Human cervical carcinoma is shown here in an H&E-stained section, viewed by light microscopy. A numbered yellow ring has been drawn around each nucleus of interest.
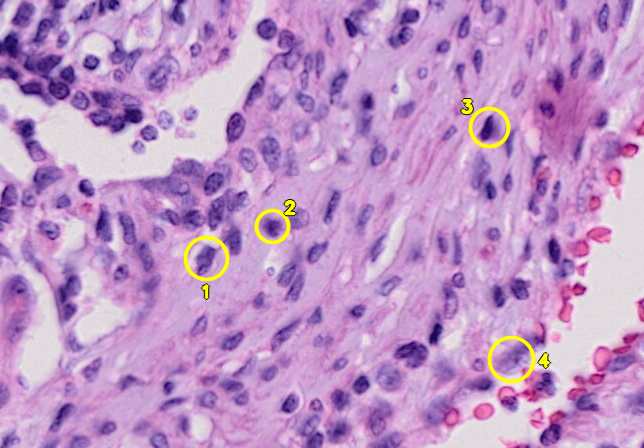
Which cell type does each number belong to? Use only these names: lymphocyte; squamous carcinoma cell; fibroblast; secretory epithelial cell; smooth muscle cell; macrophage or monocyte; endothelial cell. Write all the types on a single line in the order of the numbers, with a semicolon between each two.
lymphocyte; lymphocyte; lymphocyte; endothelial cell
